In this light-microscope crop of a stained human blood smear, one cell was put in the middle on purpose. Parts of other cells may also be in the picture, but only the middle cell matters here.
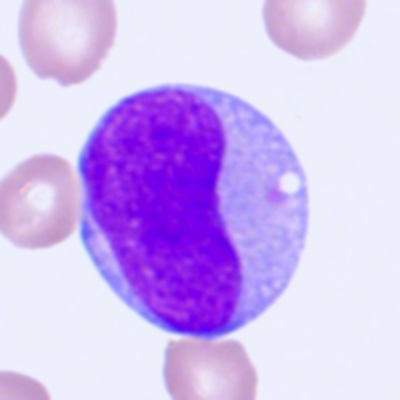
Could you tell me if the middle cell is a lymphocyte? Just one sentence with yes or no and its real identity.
No, a lymphocyte is not what the central cell is; it is a myeloblast.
